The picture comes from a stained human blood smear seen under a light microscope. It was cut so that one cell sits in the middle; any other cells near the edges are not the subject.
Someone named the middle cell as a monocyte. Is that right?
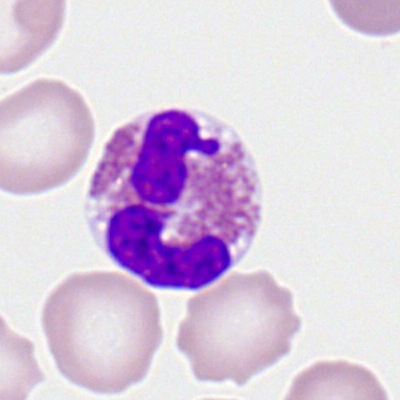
no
